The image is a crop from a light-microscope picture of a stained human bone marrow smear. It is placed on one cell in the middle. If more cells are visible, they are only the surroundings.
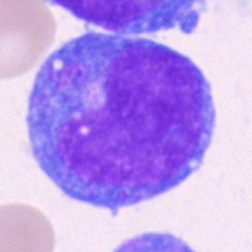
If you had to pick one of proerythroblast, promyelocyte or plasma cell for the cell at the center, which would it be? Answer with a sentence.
The target cell in the middle of the crop is a promyelocyte.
